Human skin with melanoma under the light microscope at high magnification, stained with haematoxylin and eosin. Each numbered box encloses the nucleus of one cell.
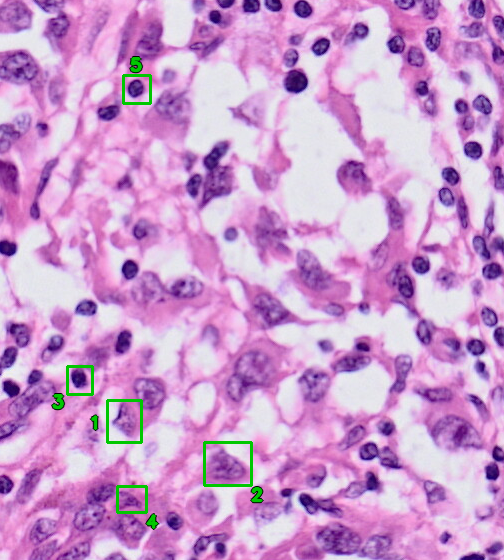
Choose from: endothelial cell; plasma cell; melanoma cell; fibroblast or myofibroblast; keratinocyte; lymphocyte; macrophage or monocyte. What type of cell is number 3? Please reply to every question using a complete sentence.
Heads up, the cell numbered 3 is a lymphocyte.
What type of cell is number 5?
The cell that is numbered 5 is a lymphocyte.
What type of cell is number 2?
The cell whose nucleus carries the number 2 is a melanoma cell.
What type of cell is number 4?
As for number 4, that cell is a melanoma cell.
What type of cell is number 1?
The cell identified by number 1 is a melanoma cell.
